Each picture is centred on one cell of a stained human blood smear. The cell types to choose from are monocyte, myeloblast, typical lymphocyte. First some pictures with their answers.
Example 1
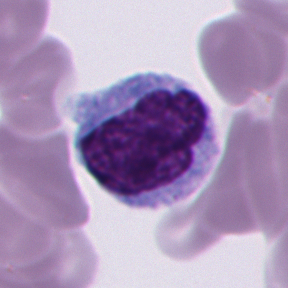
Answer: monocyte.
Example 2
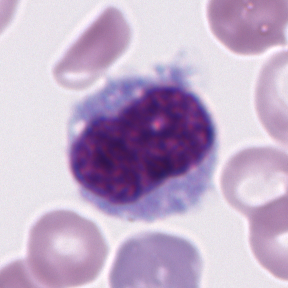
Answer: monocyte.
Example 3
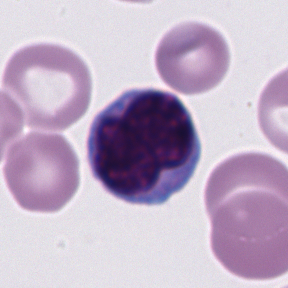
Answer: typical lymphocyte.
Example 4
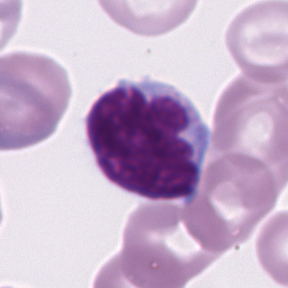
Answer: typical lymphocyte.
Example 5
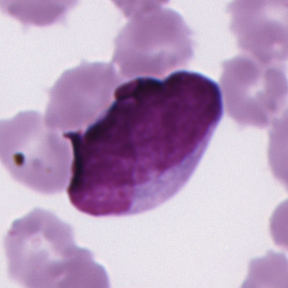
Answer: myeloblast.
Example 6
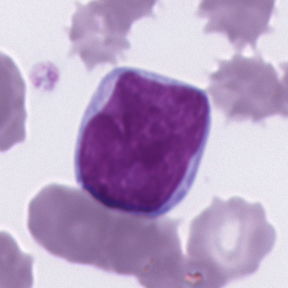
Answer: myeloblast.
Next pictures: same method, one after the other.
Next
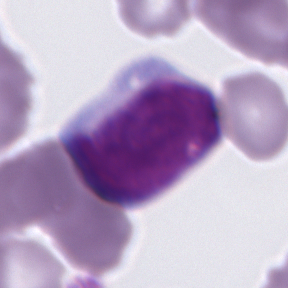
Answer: myeloblast.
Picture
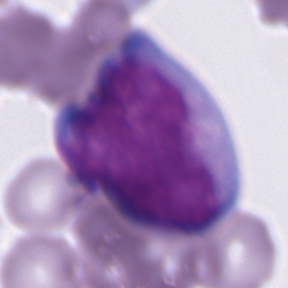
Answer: myeloblast.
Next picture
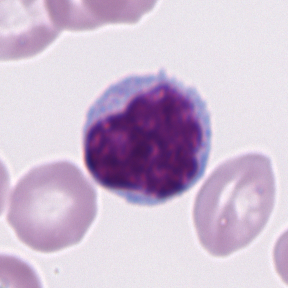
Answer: typical lymphocyte.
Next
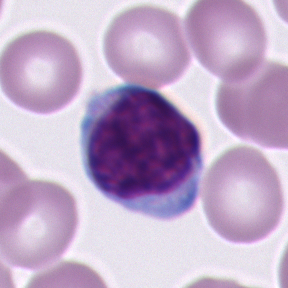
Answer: typical lymphocyte.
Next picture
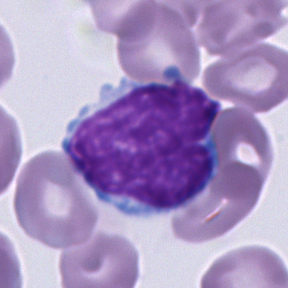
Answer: myeloblast.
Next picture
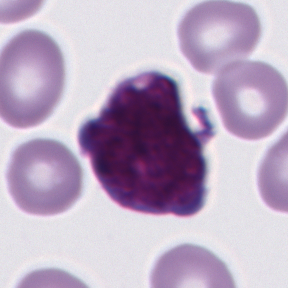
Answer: myeloblast.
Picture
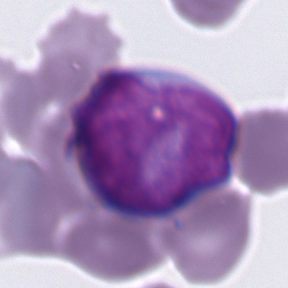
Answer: myeloblast.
